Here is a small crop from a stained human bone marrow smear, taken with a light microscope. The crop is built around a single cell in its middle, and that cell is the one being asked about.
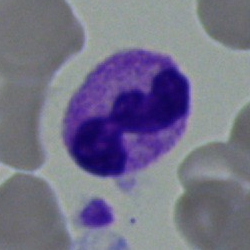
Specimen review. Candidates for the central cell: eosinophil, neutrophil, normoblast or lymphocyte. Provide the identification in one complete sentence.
The cell centred in this crop is categorized as a neutrophil.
